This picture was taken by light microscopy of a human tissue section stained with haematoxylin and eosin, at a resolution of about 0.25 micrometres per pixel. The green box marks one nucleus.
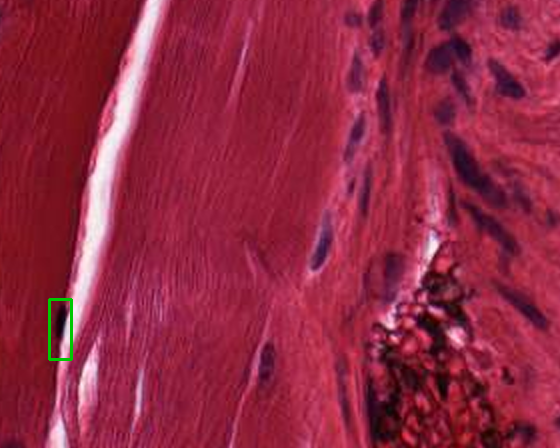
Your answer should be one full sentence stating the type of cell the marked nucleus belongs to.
The marked nucleus, in this picture, belongs to a skeletal muscle fibre.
